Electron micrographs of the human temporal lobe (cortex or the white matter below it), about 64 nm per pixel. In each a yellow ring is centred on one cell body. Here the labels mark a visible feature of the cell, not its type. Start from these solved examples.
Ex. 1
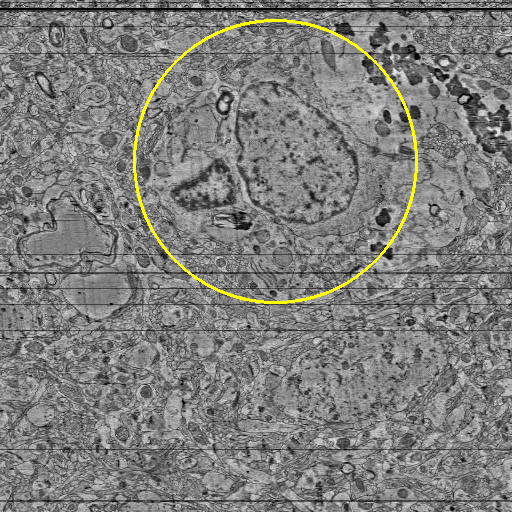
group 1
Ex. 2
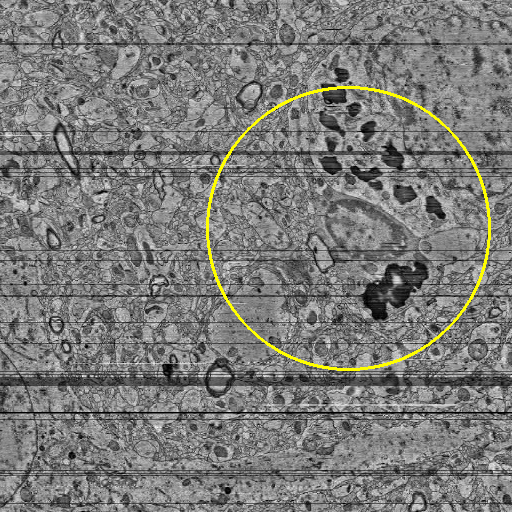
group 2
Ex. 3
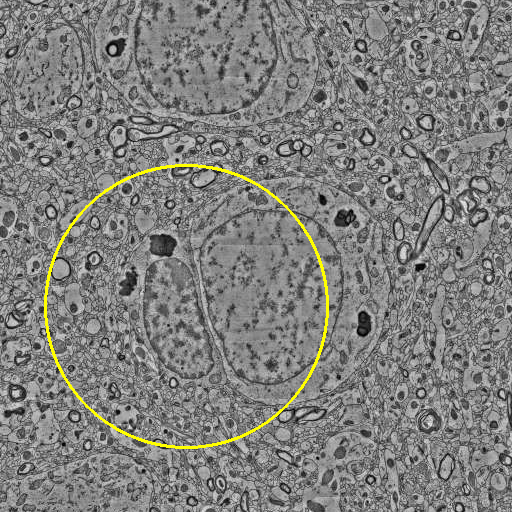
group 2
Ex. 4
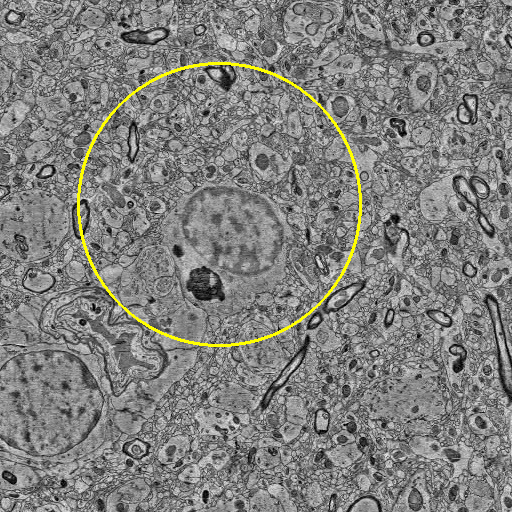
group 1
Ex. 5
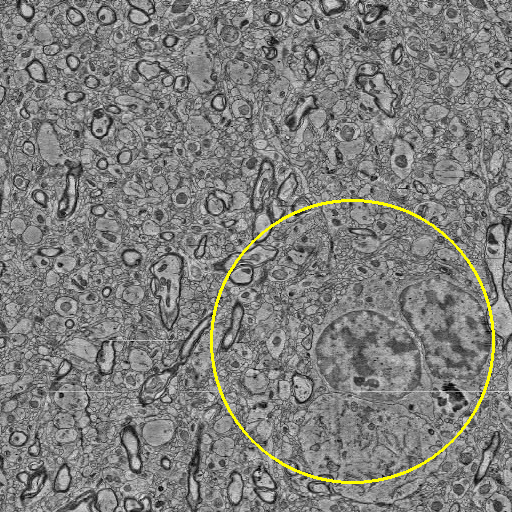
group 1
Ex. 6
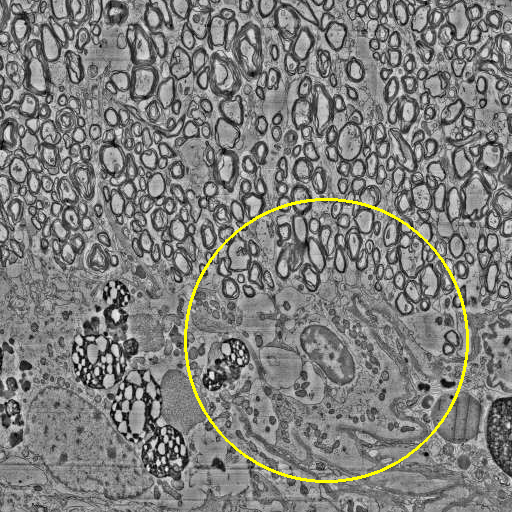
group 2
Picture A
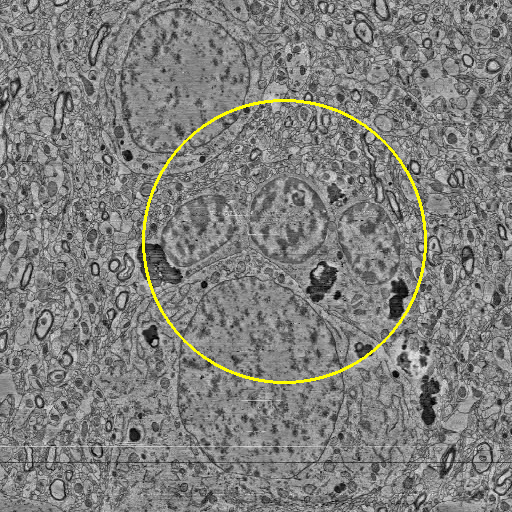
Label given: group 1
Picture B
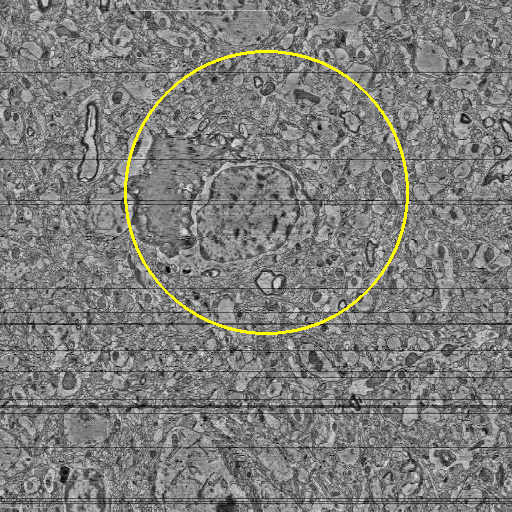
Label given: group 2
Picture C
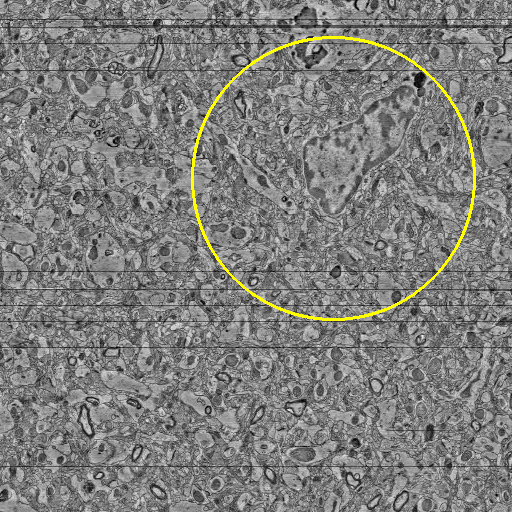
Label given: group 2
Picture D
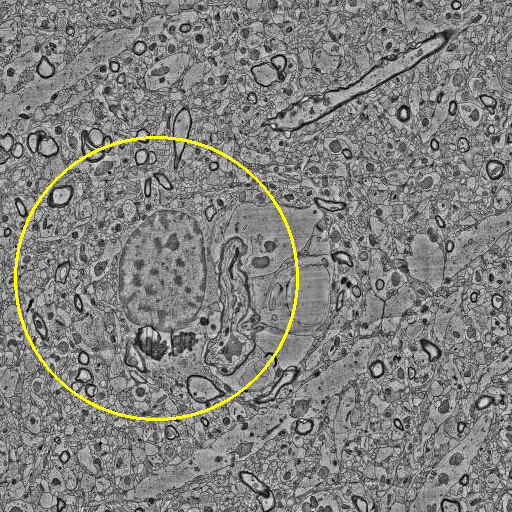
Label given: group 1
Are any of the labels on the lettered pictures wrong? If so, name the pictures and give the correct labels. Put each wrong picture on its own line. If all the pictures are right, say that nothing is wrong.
B: group 1, not group 2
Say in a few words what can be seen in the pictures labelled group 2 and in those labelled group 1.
group 2: clearly elongated nuclei; group 1: round or nearly round nuclei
